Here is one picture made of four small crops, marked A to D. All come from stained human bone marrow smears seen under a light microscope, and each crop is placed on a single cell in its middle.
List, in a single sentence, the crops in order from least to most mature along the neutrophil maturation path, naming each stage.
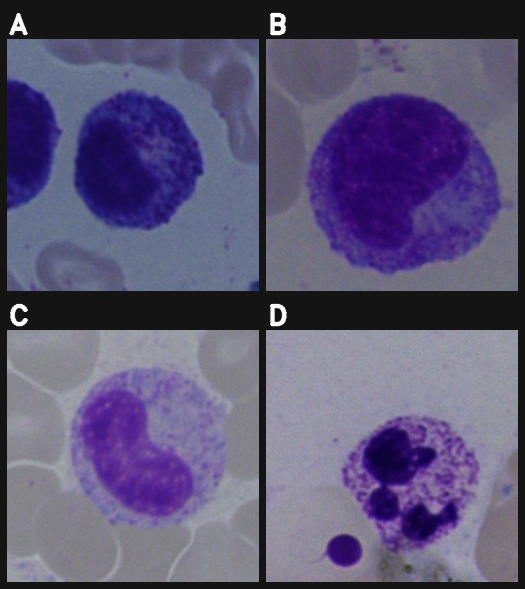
The maturity ranking, beginning with the least mature, is crop A (a myelocyte), crop B (a metamyelocyte), crop C (a band neutrophil) and crop D (a segmented neutrophil).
